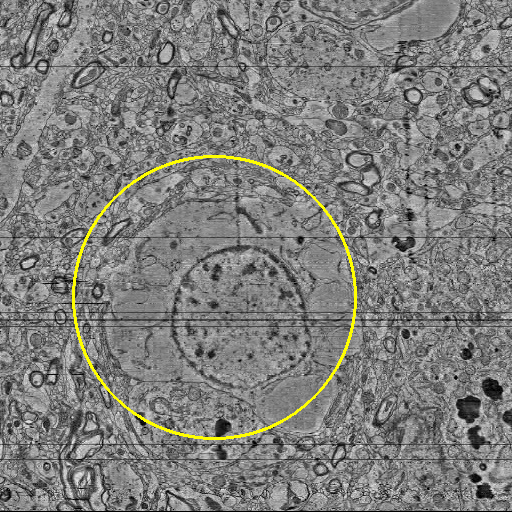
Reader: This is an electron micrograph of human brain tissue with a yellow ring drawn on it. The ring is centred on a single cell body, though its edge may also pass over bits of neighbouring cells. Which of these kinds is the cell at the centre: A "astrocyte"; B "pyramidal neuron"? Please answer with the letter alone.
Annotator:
A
